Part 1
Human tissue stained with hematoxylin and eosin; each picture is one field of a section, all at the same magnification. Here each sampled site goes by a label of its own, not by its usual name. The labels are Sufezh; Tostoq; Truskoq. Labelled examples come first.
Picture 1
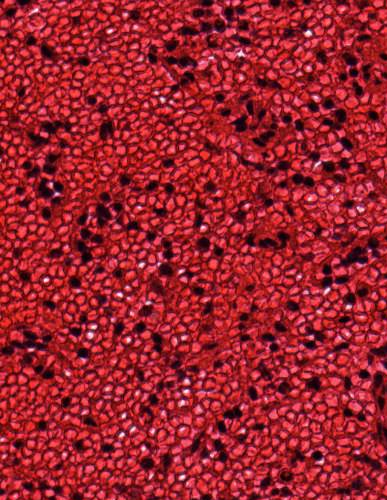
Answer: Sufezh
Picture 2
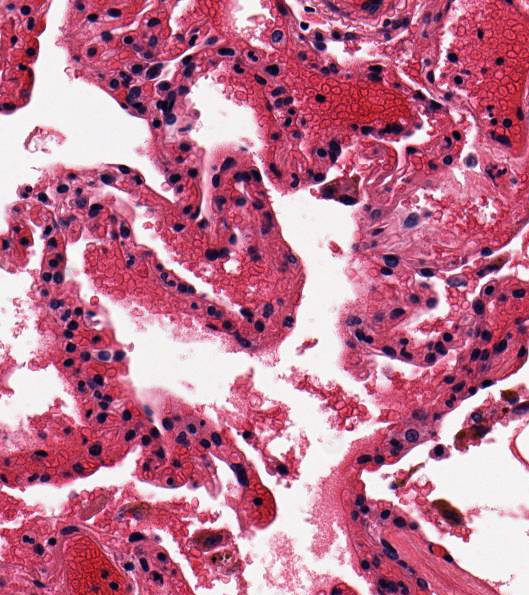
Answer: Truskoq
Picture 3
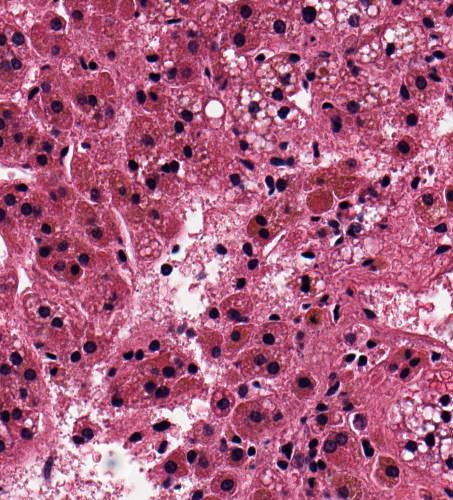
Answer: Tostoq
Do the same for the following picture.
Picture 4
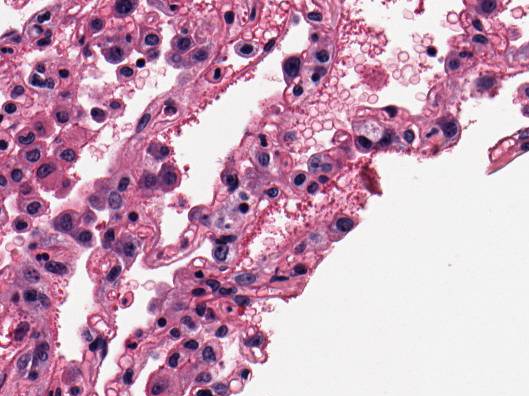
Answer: Truskoq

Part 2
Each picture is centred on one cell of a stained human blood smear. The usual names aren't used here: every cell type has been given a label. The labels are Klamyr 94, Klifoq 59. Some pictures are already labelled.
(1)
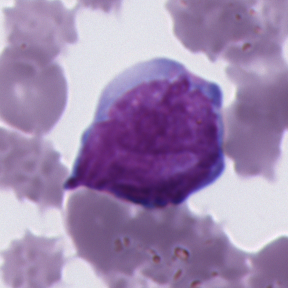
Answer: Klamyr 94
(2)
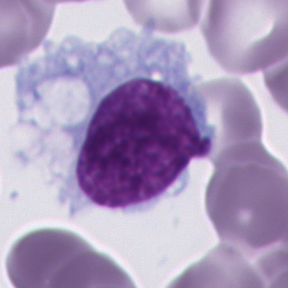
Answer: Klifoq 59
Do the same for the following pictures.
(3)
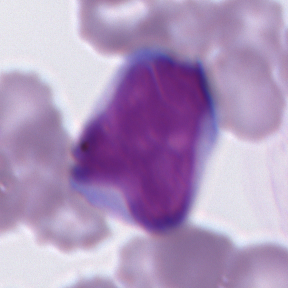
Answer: Klamyr 94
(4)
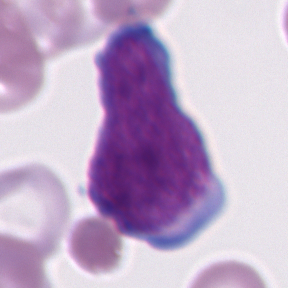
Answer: Klamyr 94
